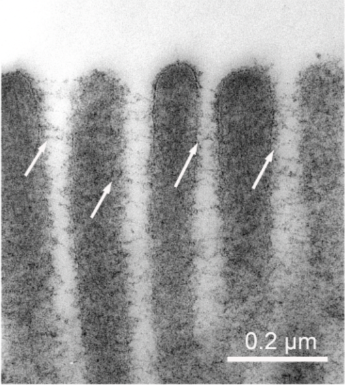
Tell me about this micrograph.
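Closely packed microvilli appear as parallel finger-like projections with rounded tips, each filled by a dense core of longitudinal filaments. Fine filamentous strands bridge the narrow spaces between neighbouring microvilli, most clearly in their upper portions.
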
